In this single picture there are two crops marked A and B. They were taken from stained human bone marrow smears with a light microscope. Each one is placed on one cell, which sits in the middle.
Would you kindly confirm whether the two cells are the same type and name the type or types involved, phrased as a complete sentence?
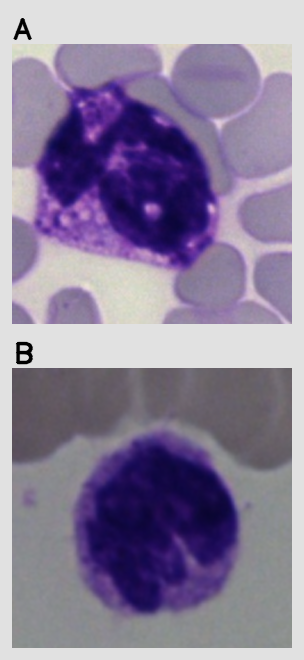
Yes, the central cells, in both crops, are basophils.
